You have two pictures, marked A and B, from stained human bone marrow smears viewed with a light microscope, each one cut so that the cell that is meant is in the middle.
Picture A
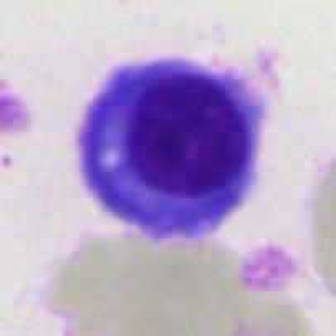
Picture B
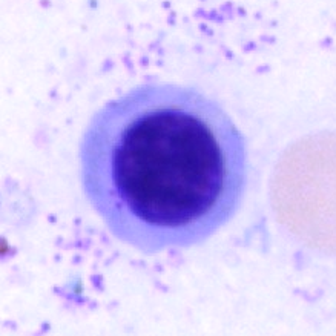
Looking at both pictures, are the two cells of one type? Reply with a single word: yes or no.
no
